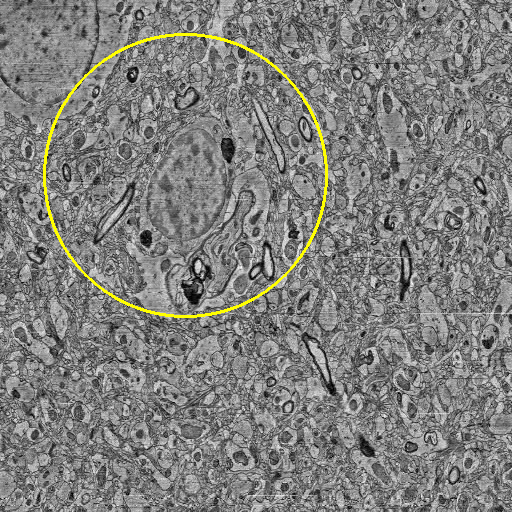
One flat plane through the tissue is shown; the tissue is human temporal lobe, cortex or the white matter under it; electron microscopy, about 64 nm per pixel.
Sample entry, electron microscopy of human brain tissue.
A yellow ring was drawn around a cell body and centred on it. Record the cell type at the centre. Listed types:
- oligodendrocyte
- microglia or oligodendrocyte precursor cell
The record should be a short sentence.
The cell at the ring's centre is an oligodendrocyte.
